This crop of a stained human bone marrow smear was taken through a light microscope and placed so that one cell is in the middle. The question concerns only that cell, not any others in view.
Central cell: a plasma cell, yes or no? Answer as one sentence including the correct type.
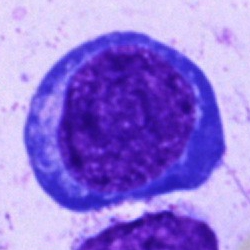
No, the cell in the centre is a proerythroblast instead of a plasma cell.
